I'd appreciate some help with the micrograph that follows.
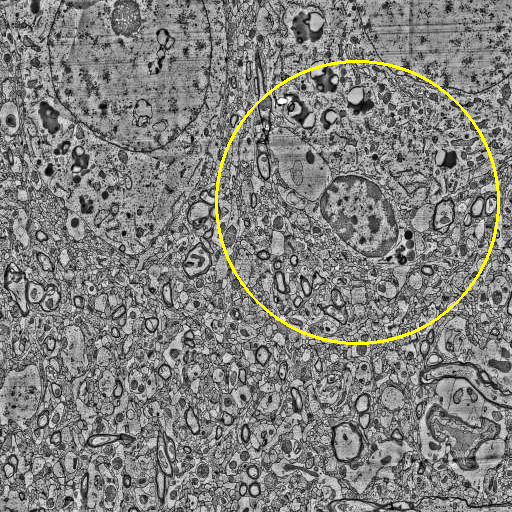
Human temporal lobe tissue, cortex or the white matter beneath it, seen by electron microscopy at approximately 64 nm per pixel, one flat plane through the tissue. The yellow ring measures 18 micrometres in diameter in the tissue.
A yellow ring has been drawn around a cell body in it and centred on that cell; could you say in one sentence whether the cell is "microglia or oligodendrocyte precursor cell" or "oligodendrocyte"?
It is a microglial cell or oligodendrocyte precursor cell at the centre of the ring.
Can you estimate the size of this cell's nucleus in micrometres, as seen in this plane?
The nucleus comes to roughly 5 by 4 micrometres in this plane.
